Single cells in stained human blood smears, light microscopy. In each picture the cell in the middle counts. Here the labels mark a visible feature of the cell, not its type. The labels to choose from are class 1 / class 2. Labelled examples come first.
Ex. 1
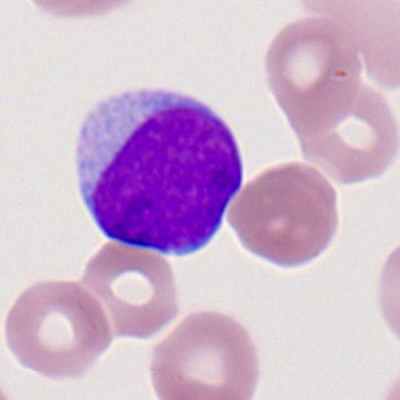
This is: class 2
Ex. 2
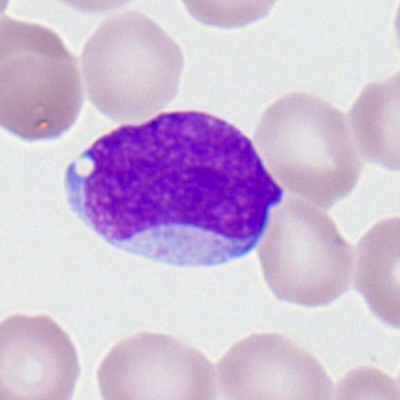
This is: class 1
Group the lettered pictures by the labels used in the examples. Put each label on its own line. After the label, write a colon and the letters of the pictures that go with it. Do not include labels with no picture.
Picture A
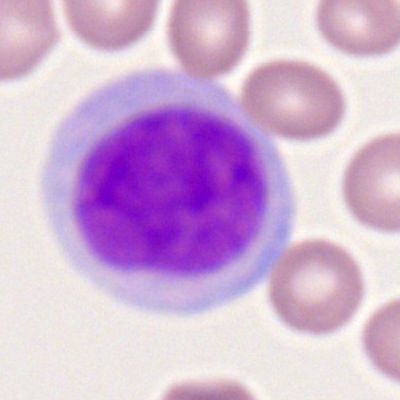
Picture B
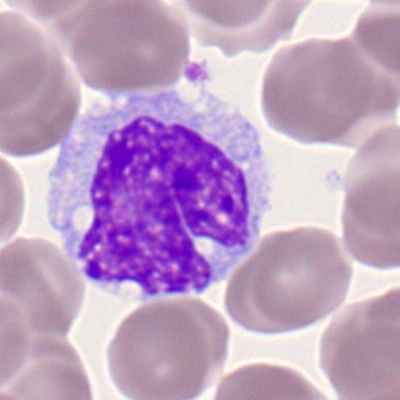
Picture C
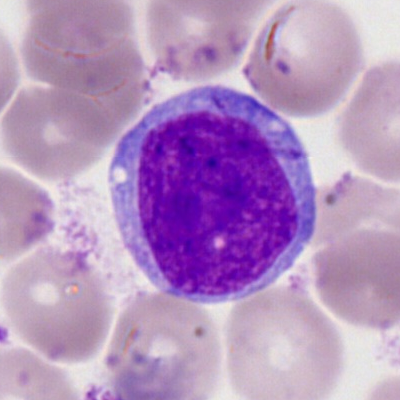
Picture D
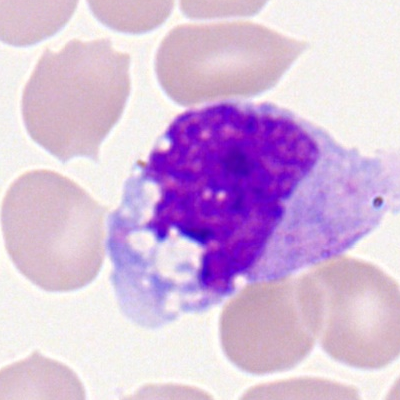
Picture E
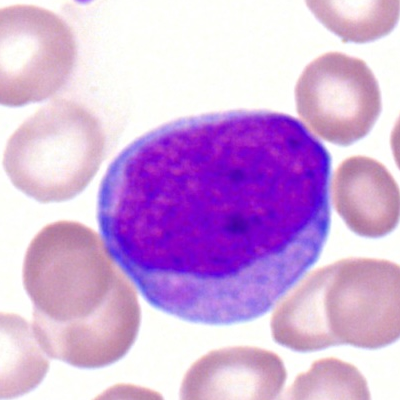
class 1: B, C, D
class 2: A, E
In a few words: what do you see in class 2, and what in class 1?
Seen in class 2: no vacuoles; seen in class 1: vacuoles present.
